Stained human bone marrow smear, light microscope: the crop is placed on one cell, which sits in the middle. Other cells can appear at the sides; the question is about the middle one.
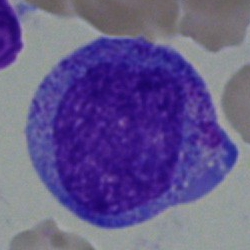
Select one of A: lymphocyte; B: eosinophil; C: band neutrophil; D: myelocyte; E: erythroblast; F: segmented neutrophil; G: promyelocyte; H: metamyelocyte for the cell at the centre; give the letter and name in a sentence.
The cell centered in the crop is a promyelocyte, making option G the correct pick.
